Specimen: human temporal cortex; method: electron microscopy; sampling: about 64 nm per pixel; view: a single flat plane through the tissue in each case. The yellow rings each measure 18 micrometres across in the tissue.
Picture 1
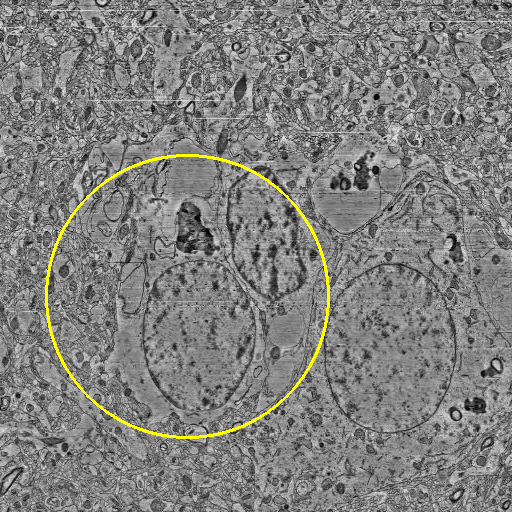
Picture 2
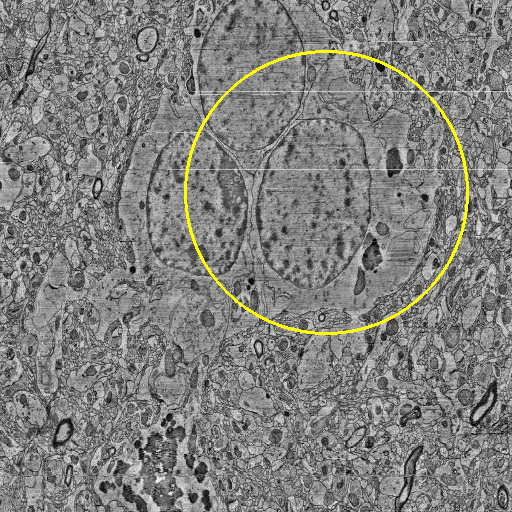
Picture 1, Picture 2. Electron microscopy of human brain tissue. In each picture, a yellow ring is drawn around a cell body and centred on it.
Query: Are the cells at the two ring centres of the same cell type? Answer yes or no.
yes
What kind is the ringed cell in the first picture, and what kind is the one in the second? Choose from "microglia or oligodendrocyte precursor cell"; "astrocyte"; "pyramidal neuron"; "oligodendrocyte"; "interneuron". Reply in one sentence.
Both pictures show an astrocyte at the centre of the ring.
